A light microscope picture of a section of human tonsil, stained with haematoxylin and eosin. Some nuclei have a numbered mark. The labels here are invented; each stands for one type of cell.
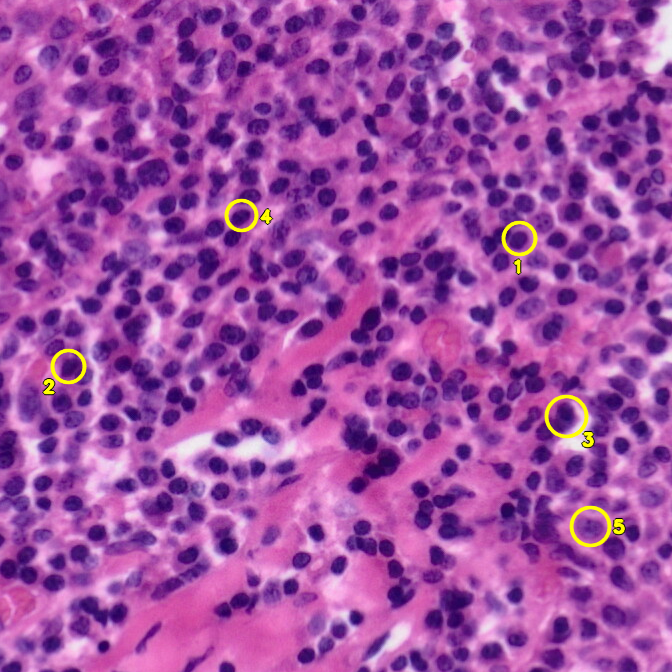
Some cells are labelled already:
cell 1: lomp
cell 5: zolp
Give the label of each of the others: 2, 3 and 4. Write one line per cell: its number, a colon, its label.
2: lomp
3: zolp
4: lomp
